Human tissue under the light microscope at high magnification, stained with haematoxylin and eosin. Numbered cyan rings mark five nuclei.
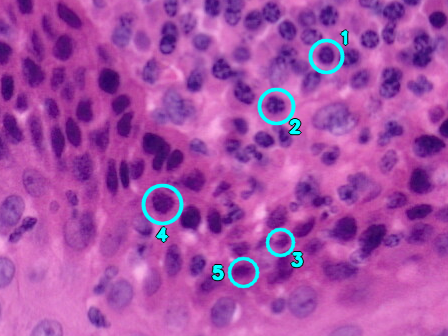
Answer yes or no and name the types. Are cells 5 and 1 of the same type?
No, cell 5 is a squamous epithelial cell and cell 1 is a plasma cell.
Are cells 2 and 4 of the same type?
No, cell 2 is a plasma cell and cell 4 is a squamous epithelial cell.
